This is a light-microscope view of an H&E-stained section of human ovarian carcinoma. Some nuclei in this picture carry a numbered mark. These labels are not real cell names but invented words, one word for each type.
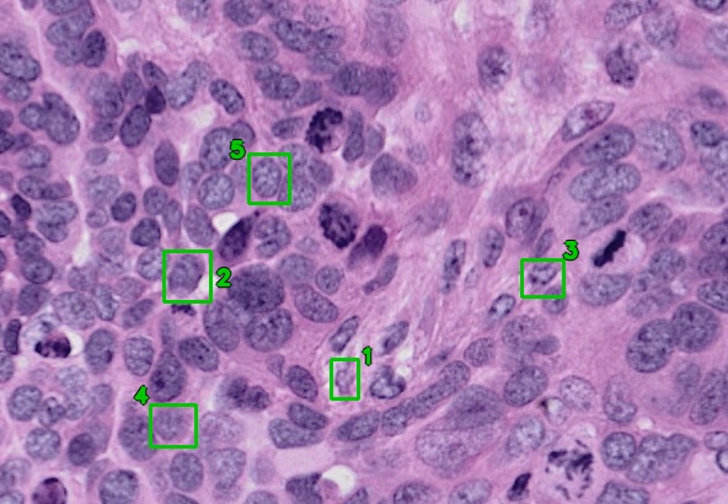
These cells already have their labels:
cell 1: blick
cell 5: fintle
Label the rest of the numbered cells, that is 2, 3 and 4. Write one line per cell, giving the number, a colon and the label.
2: fintle
3: blick
4: fintle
